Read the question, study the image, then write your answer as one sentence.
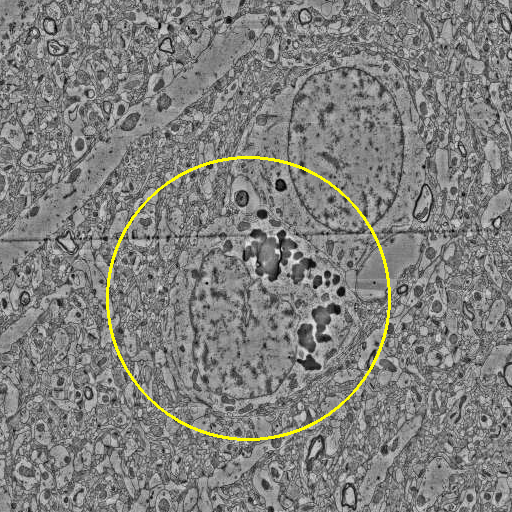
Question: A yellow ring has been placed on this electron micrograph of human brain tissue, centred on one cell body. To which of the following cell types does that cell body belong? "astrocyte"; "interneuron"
That cell body belongs to an interneuron.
